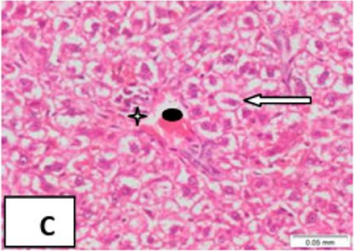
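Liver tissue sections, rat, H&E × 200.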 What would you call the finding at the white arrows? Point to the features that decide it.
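Liver cells are swollen with pale, clear, vacuolated cytoplasm. Sinusoidal spaces between the cells are compressed.
Answer: hydropic degeneration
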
